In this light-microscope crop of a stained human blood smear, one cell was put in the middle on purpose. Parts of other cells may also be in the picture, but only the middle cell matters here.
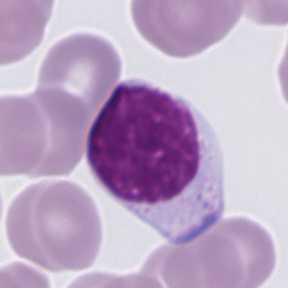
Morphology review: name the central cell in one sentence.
Standing at the centre of this crop is a large granular lymphocyte.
